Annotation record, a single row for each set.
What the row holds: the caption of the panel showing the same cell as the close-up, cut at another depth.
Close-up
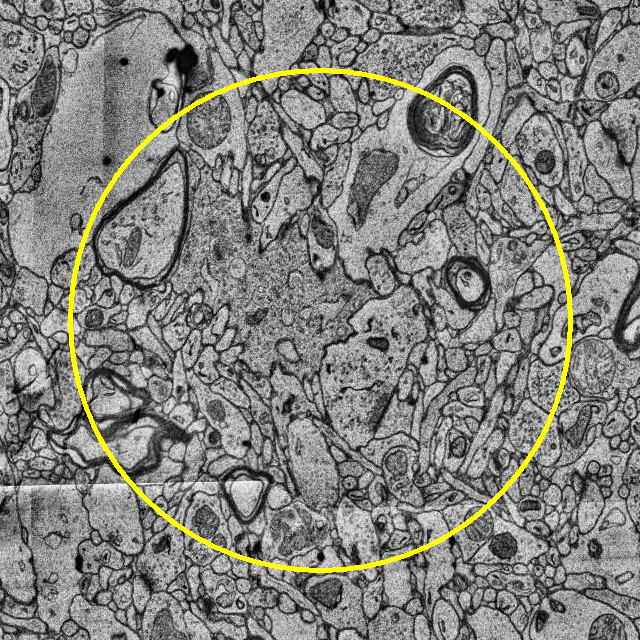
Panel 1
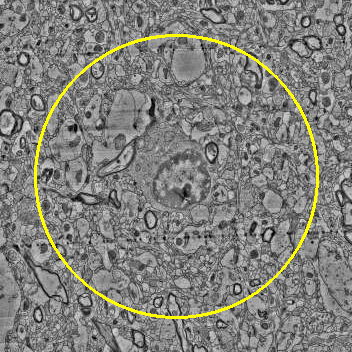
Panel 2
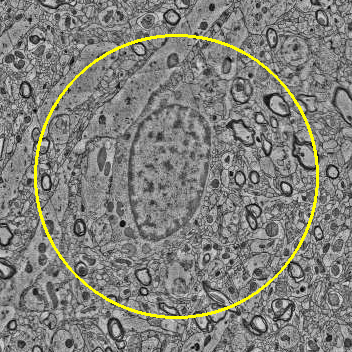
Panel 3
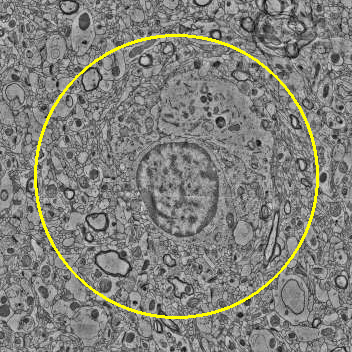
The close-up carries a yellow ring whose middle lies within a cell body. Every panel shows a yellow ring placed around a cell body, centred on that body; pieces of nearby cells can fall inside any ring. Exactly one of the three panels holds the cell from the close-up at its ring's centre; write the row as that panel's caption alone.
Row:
Panel 1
